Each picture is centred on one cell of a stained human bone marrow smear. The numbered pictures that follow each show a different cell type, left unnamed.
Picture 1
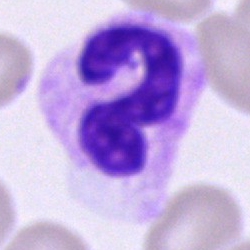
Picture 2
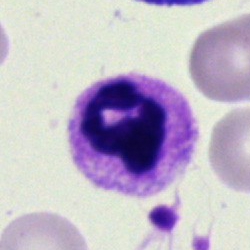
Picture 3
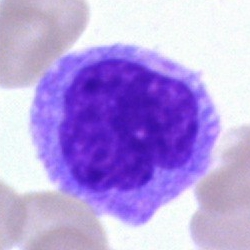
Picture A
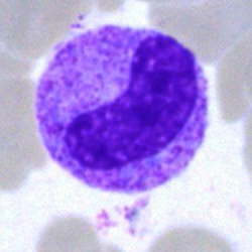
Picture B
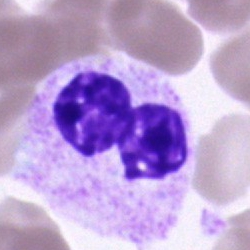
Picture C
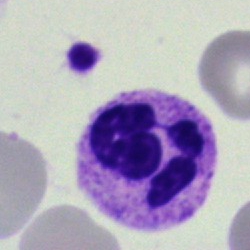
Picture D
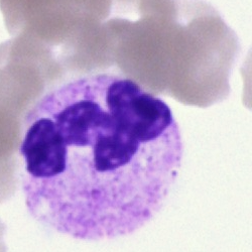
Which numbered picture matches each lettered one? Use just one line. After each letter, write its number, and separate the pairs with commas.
A 1, B 2, C 2, D 2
